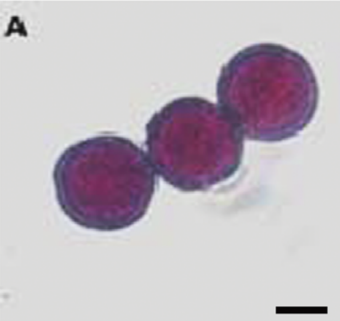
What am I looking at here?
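Three pollen grains lie side by side in a short chain, touching one another. Each grain is round and of about the same size. The inside of every grain is filled evenly with a magenta to red stain, slightly mottled, while a thin dark purple-blue rim marks the outer wall around each grain. No grain appears empty, shrunken or pale; all three take up the red stain throughout. The background is clear and pale, with a faint small fragment near where the grains meet.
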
